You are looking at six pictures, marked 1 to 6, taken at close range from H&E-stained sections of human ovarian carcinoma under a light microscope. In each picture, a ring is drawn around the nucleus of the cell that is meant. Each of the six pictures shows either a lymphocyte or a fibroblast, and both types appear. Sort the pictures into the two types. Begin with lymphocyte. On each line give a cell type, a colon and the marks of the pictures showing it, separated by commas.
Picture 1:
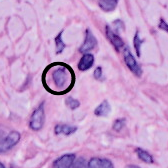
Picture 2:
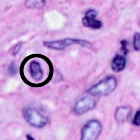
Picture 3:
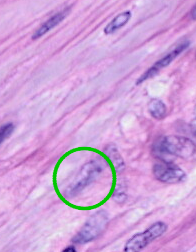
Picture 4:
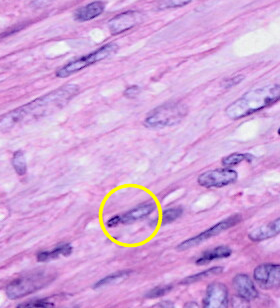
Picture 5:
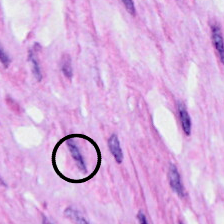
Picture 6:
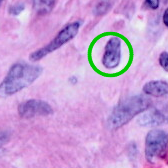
lymphocyte: 2, 6
fibroblast: 1, 3, 4, 5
